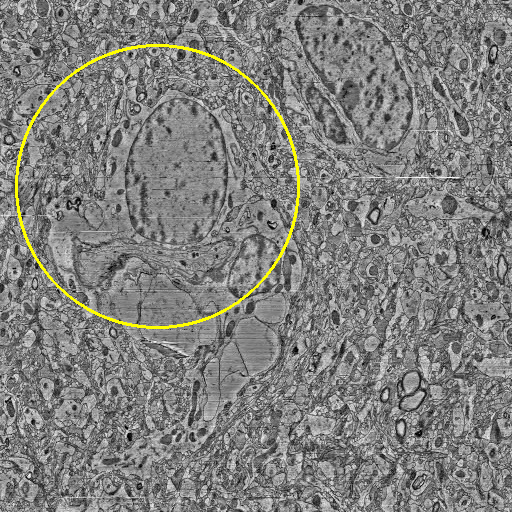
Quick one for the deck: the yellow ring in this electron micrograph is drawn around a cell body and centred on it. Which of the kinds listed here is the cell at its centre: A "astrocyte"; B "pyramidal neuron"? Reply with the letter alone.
A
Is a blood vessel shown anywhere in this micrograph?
Yes, one is visible.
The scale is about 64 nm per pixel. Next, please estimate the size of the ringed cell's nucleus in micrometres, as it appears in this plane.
The nucleus appears roughly 10 by 6 micrometres in this plane.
